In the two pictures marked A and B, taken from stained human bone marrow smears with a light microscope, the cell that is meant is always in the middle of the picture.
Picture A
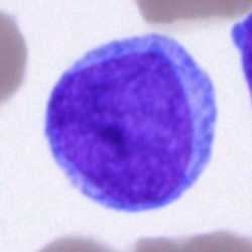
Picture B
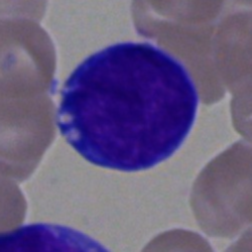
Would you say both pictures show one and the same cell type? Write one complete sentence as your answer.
Yes; the cells in both pictures are blasts.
